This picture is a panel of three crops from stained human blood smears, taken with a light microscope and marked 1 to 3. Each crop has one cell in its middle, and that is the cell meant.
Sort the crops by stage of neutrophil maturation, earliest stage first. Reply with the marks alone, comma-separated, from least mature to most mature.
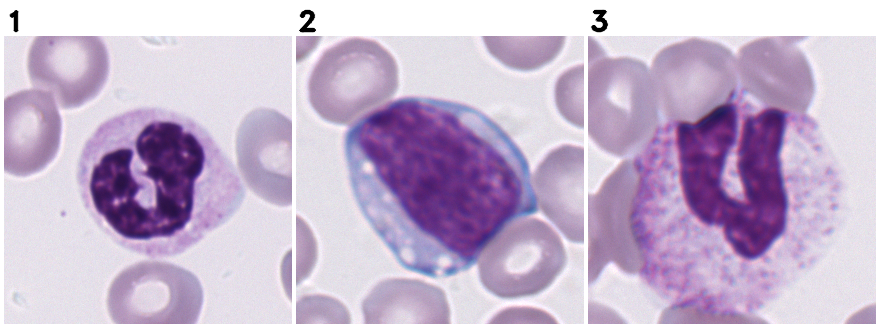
2, 1, 3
